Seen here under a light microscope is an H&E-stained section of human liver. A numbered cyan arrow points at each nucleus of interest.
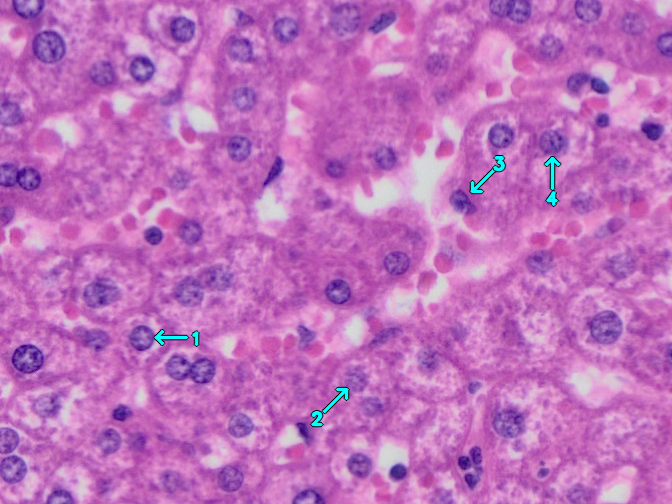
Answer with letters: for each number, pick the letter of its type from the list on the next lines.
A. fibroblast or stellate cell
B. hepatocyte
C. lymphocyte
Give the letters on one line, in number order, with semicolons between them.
B; B; A; B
